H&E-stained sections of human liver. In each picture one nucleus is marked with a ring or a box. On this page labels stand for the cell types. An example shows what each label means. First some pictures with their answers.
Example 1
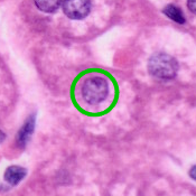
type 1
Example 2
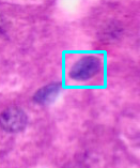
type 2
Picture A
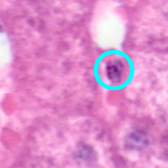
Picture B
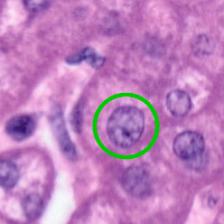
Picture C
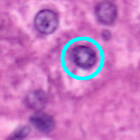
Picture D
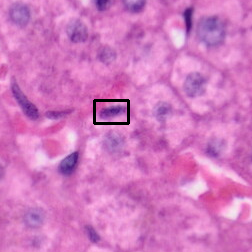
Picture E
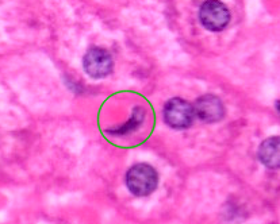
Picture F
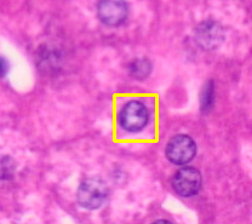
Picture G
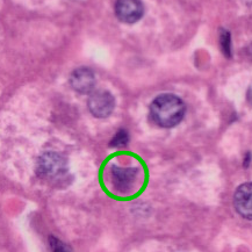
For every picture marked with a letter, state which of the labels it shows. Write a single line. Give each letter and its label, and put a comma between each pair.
A type 2, B type 1, C type 1, D type 2, E type 2, F type 1, G type 2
